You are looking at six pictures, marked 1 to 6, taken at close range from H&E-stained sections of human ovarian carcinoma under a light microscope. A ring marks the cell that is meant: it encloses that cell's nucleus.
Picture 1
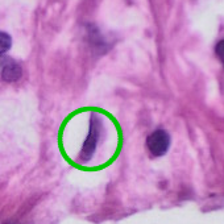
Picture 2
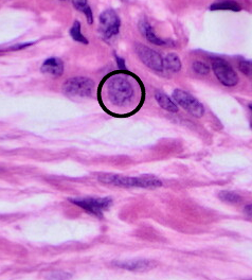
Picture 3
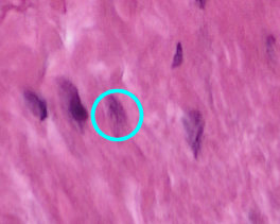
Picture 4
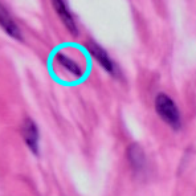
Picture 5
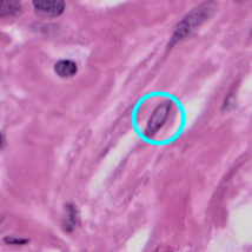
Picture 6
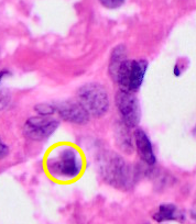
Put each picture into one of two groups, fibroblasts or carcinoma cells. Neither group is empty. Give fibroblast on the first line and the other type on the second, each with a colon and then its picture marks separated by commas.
fibroblast: 1, 3, 4, 5
carcinoma cell: 2, 6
